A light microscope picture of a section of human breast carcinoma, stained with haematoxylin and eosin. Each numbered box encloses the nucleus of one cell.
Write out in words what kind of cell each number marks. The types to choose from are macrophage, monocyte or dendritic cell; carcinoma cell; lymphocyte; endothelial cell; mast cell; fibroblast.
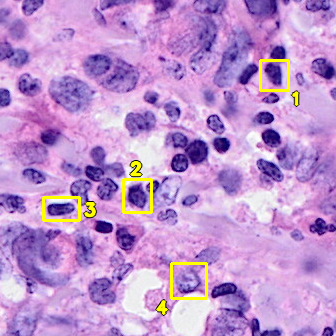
Cell 1 is a lymphocyte, cell 2 is a lymphocyte, cell 3 is a lymphocyte and cell 4 is a macrophage, monocyte or dendritic cell.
